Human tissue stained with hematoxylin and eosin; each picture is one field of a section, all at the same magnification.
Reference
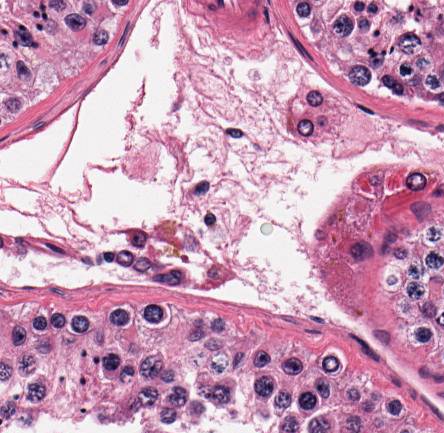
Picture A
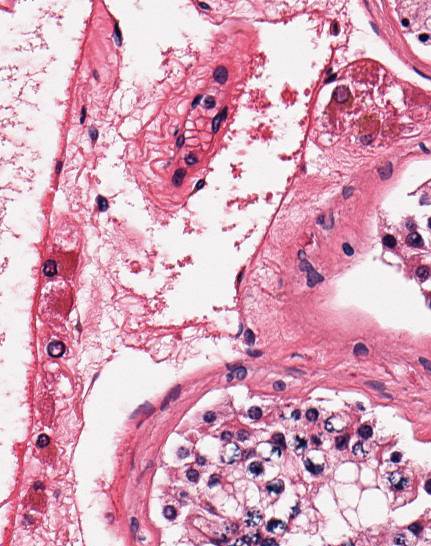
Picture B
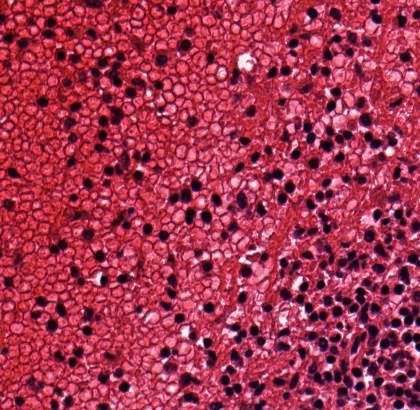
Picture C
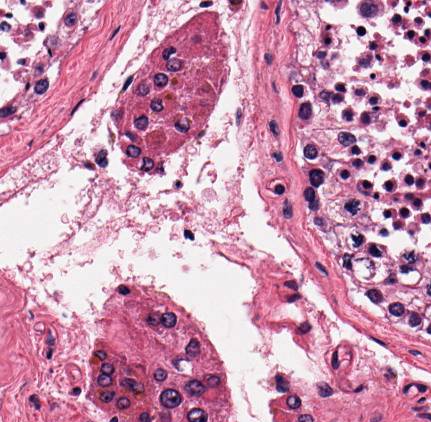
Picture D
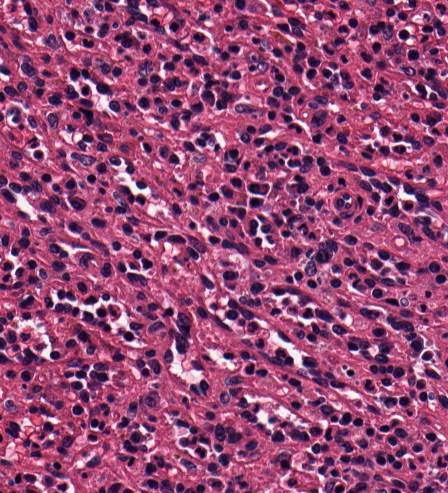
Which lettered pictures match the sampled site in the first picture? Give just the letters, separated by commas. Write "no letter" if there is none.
A, C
